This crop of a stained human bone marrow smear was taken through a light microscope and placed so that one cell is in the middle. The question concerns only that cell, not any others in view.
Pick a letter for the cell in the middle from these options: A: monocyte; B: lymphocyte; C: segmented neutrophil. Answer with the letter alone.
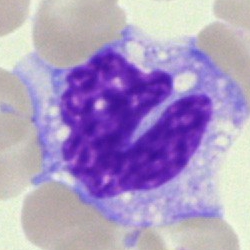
A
